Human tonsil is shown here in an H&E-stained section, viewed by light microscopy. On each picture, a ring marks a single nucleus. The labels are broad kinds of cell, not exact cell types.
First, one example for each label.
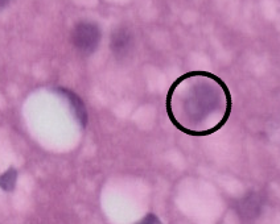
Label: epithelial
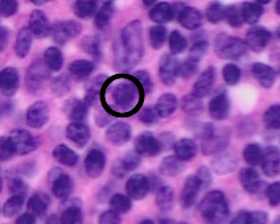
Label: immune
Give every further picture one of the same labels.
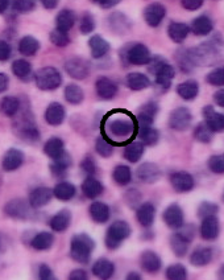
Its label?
immune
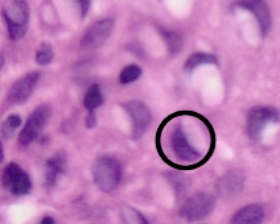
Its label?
epithelial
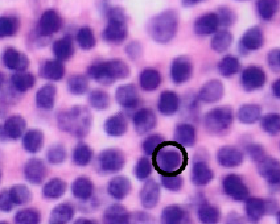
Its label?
immune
